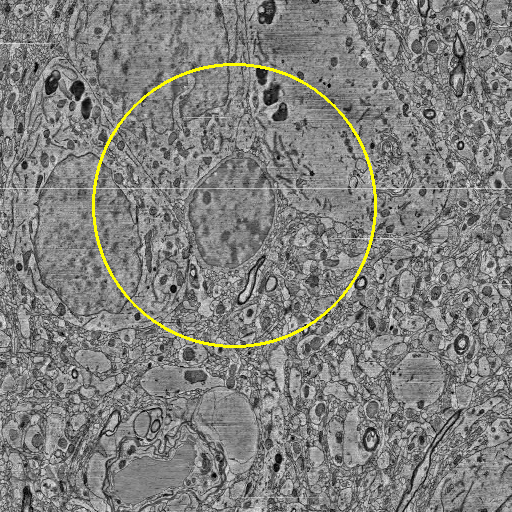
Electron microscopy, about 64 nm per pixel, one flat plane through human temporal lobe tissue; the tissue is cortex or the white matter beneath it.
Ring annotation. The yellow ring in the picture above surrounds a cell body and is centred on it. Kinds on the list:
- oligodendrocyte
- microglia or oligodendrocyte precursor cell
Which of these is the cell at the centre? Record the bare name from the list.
oligodendrocyte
